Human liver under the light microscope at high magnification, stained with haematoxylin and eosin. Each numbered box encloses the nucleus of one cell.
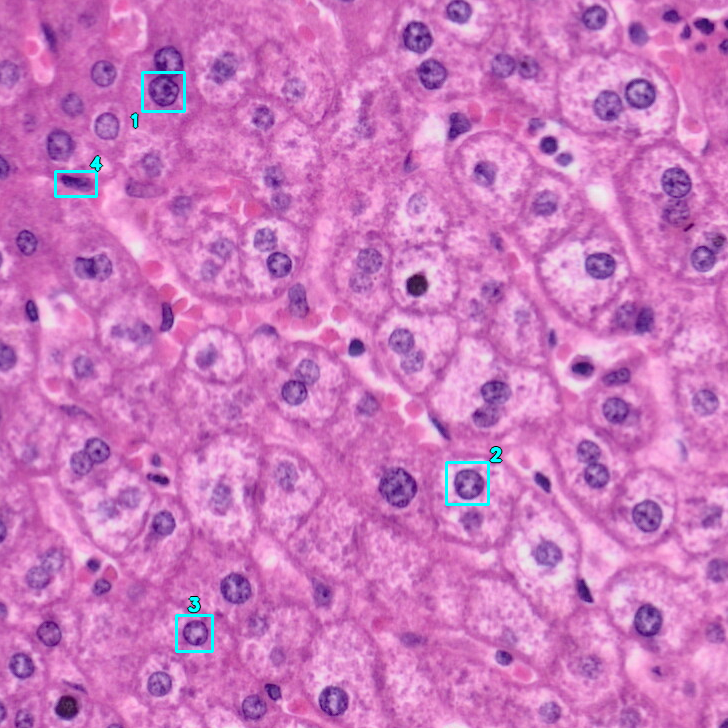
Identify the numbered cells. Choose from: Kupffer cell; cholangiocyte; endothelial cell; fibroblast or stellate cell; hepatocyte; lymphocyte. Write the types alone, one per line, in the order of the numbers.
hepatocyte
hepatocyte
hepatocyte
fibroblast or stellate cell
